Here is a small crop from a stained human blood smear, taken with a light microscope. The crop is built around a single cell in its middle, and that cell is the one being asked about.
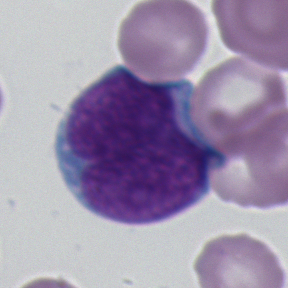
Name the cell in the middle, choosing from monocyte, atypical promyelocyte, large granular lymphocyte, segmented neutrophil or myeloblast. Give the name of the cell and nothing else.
myeloblast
